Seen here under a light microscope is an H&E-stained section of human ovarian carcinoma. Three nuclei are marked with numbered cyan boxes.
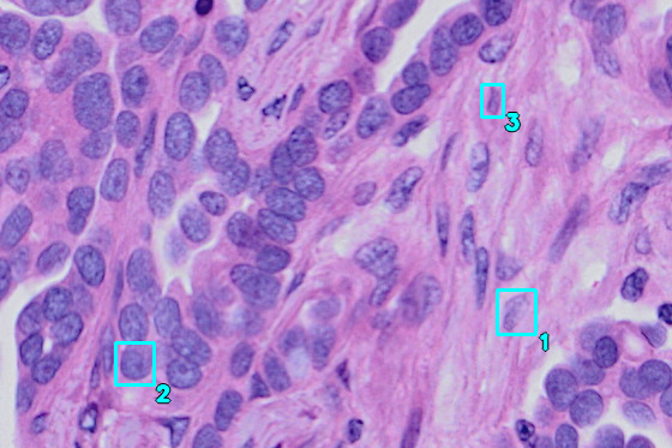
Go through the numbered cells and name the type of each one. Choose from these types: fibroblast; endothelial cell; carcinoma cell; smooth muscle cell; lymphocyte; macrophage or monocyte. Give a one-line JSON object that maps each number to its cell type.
{"1": "fibroblast", "2": "carcinoma cell", "3": "fibroblast"}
